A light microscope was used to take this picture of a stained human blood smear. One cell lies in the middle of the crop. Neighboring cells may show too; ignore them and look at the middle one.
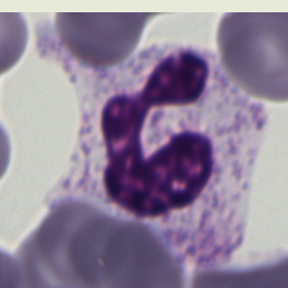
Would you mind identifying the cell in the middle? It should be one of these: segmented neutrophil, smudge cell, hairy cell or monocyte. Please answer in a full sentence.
The central element of this crop is a cell, namely a segmented neutrophil.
